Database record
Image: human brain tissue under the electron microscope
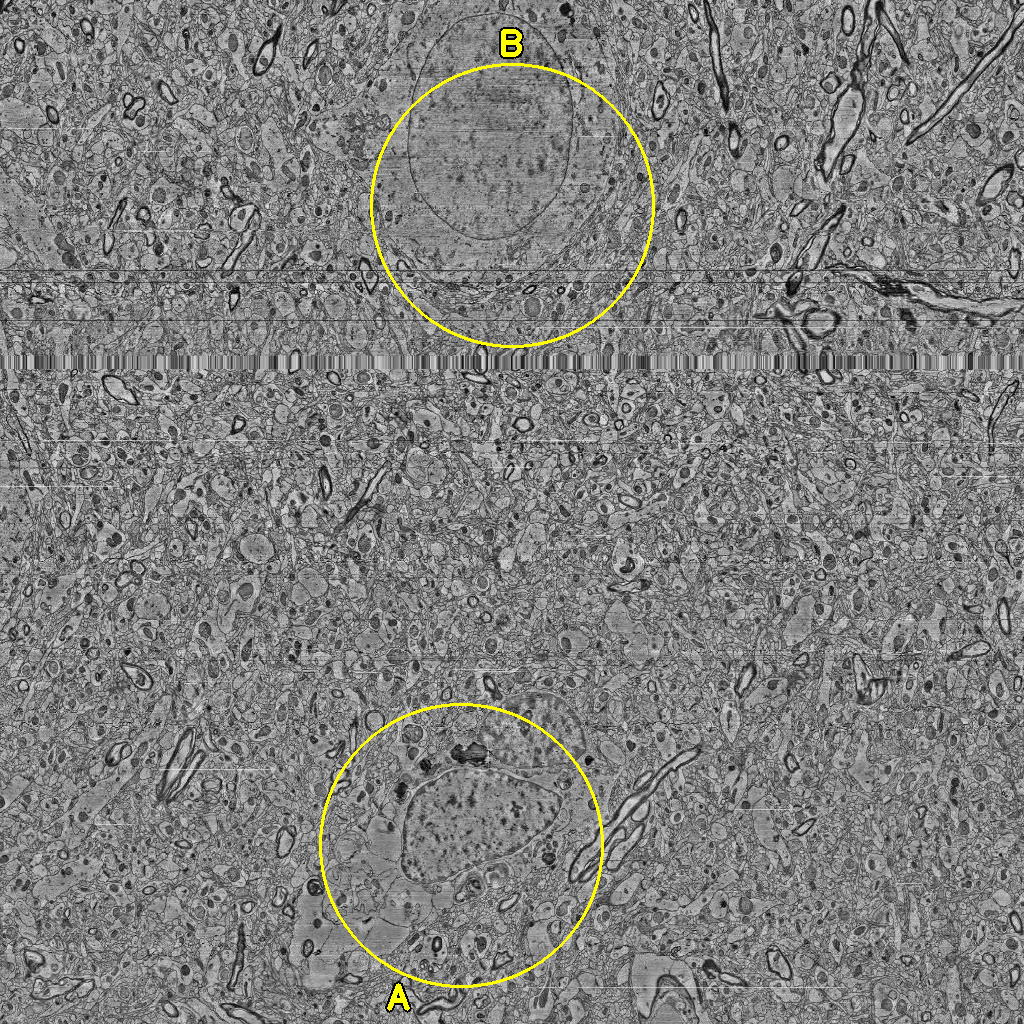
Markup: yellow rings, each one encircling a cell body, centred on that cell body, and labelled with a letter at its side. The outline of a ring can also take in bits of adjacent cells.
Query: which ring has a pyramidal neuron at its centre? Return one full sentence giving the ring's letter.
In this image, that kind of cell lies at the centre of the ring labelled B.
